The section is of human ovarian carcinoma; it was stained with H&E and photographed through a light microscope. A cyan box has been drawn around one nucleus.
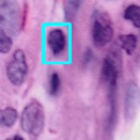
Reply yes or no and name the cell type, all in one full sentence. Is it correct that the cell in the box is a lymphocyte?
Yes, the cell in the box is correctly named as a lymphocyte.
